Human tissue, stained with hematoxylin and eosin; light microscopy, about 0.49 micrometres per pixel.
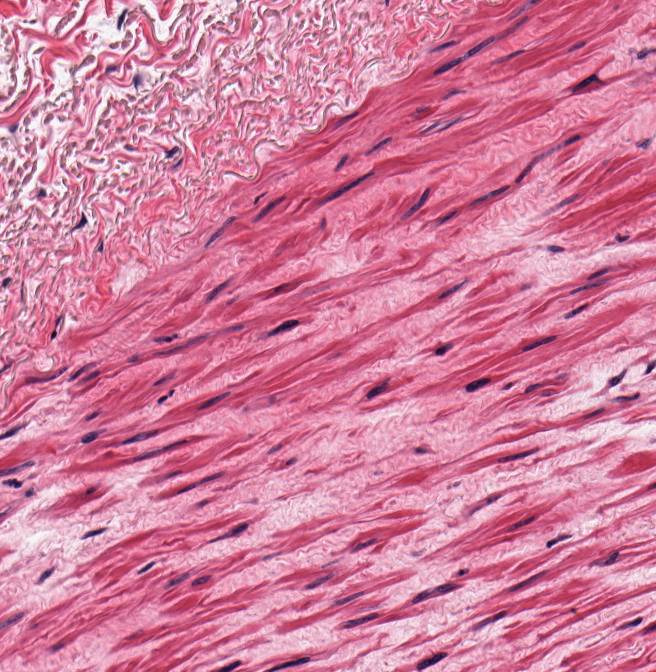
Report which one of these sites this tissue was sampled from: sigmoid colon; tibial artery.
tibial artery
